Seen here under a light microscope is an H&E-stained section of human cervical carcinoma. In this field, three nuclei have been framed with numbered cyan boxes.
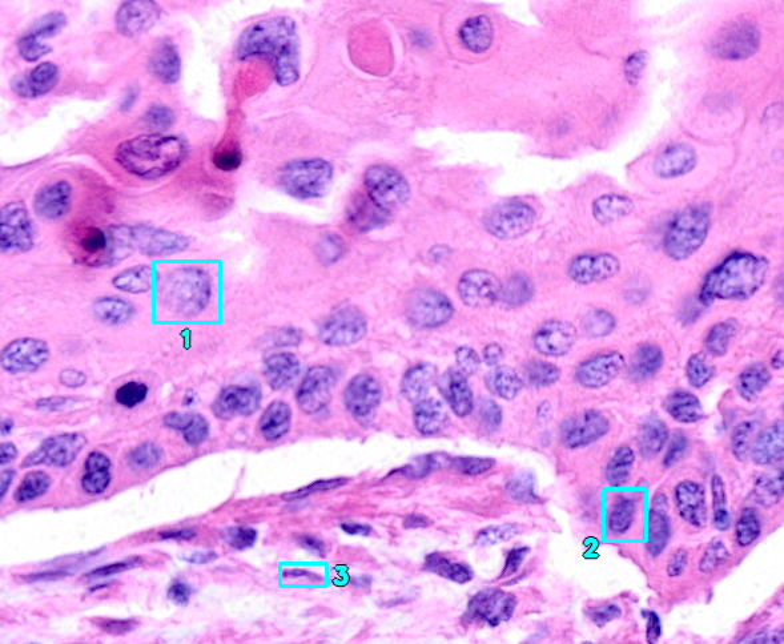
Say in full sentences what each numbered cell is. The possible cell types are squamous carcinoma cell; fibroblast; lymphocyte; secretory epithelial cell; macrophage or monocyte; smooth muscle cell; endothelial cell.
Cell 1 is a squamous carcinoma cell, cell 2 is a squamous carcinoma cell and cell 3 is a fibroblast.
